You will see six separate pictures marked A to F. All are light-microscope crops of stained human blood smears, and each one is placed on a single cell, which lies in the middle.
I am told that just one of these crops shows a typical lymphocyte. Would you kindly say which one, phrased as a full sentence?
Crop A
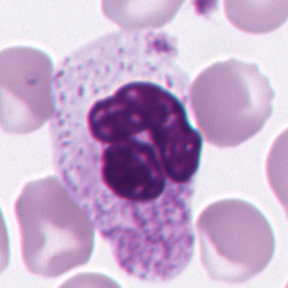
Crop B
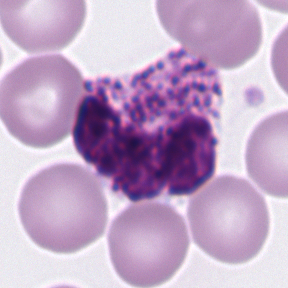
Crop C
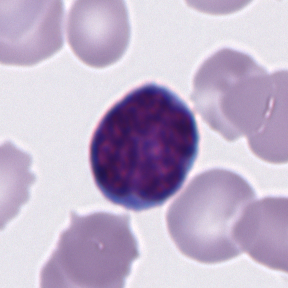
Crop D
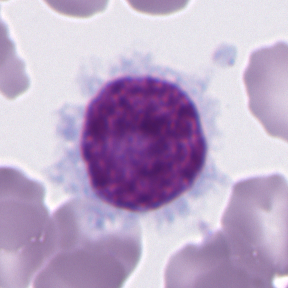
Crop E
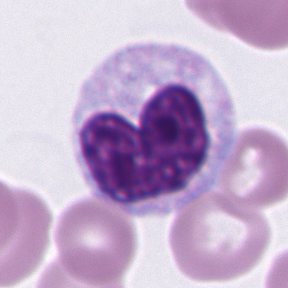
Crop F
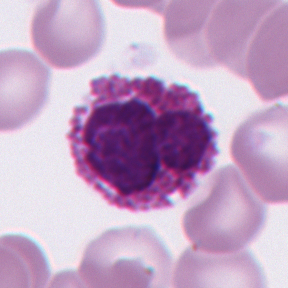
Crop C is the right one; it is the crop showing a typical lymphocyte.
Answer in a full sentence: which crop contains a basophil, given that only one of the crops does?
Only in crop B is a basophil shown.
